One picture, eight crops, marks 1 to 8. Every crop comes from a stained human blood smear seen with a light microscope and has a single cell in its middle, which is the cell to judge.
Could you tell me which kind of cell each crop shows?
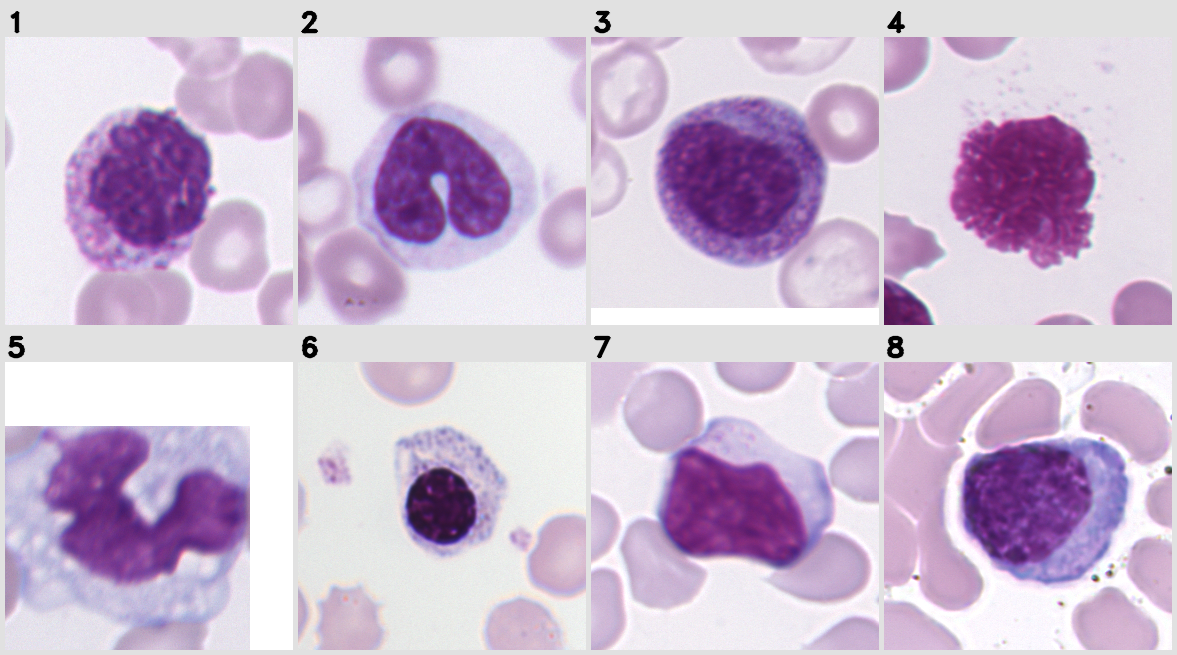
1: band neutrophil
2: band neutrophil
3: myelocyte
4: smudge cell
5: monocyte
6: normoblast
7: large granular lymphocyte
8: plasma cell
